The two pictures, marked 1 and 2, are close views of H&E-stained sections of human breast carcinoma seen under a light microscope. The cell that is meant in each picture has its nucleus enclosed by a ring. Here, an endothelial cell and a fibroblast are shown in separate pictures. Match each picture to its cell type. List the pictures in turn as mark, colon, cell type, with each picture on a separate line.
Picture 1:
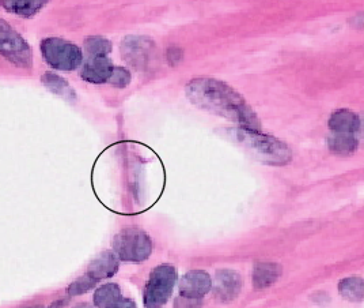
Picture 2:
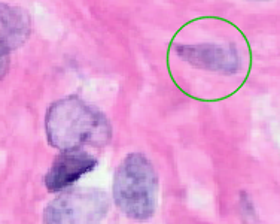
1: endothelial cell
2: fibroblast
